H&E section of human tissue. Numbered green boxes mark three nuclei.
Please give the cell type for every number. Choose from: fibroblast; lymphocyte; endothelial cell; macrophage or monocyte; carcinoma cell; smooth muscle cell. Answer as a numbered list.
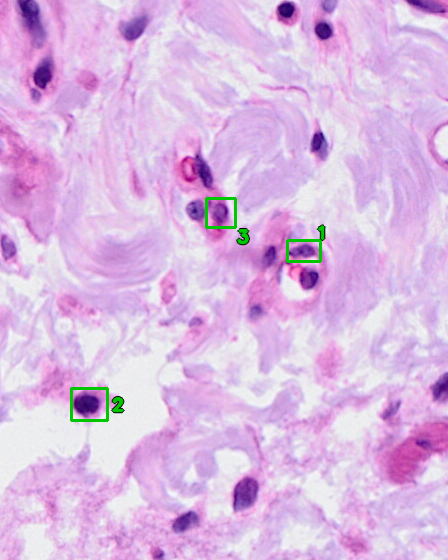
1. endothelial cell
2. macrophage or monocyte
3. endothelial cell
